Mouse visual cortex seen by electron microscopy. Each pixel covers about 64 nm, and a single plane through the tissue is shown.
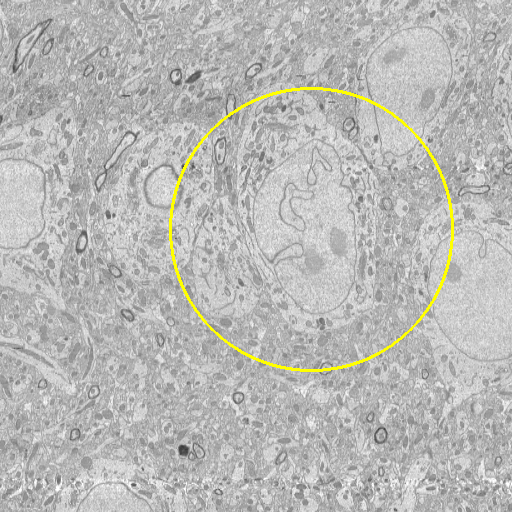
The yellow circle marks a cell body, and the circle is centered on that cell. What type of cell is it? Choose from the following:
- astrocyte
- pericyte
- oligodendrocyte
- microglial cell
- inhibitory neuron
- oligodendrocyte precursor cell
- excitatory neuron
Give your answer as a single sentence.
This cell body belongs to an inhibitory neuron.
